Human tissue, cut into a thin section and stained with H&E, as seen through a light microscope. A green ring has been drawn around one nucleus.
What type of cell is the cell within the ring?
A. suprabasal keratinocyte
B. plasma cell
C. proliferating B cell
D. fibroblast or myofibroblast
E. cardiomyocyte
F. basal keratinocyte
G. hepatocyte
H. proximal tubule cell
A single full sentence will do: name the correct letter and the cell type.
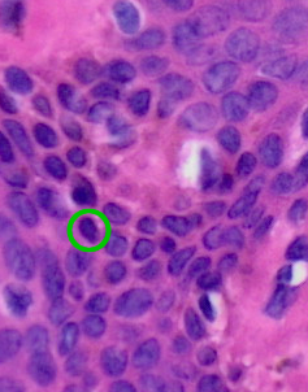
The correct pick is option F; the cell within the ring is a basal keratinocyte.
